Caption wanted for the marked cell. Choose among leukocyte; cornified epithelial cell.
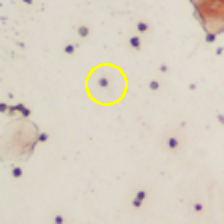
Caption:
Ringed in yellow is a leukocyte.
